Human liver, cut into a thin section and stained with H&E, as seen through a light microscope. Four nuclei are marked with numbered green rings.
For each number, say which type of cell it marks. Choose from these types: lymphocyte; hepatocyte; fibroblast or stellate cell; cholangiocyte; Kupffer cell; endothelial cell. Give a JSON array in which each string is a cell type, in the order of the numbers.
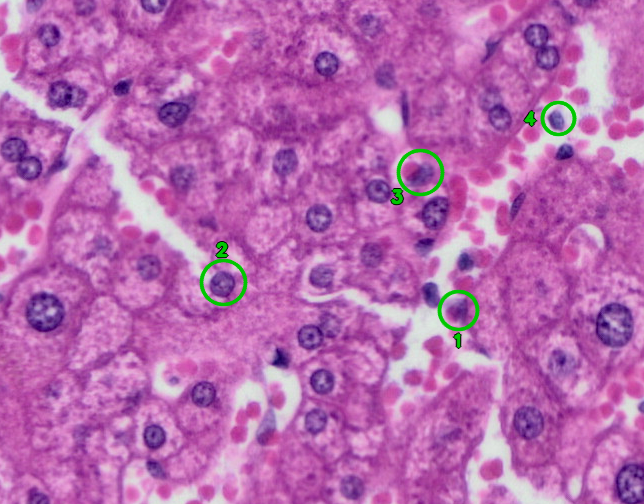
["endothelial cell", "hepatocyte", "endothelial cell", "lymphocyte"]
